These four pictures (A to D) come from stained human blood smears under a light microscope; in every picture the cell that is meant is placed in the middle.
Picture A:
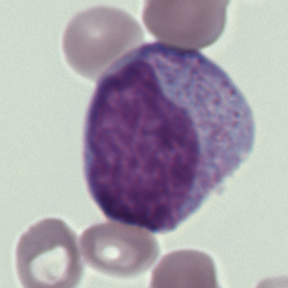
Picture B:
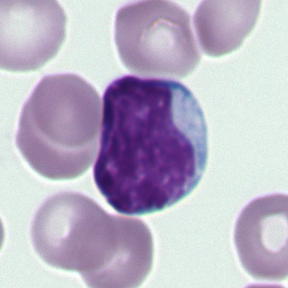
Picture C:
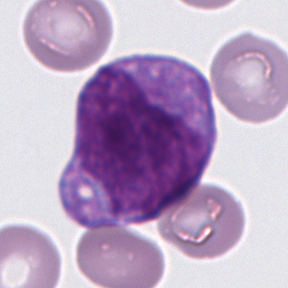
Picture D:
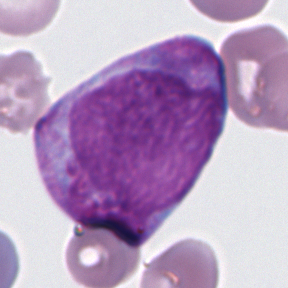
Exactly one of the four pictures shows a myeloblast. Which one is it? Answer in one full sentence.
The myeloblast is the one in picture B.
